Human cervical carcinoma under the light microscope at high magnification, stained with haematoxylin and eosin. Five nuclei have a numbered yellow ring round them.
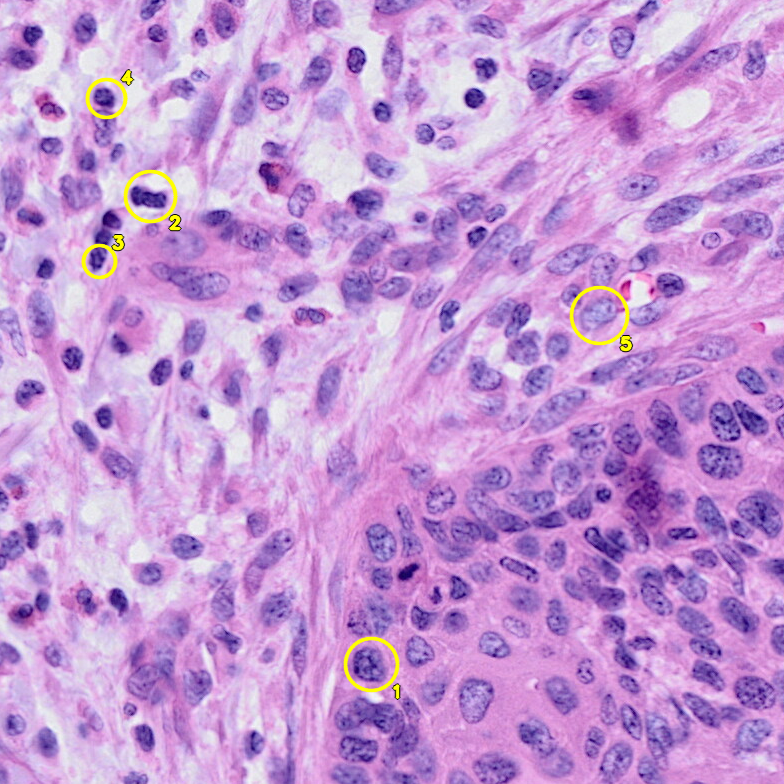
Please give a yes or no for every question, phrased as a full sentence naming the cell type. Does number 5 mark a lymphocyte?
No, the nucleus numbered 5 belongs to an endothelial cell, not a lymphocyte.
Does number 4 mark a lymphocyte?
Yes, the numbered cell 4 is a lymphocyte.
